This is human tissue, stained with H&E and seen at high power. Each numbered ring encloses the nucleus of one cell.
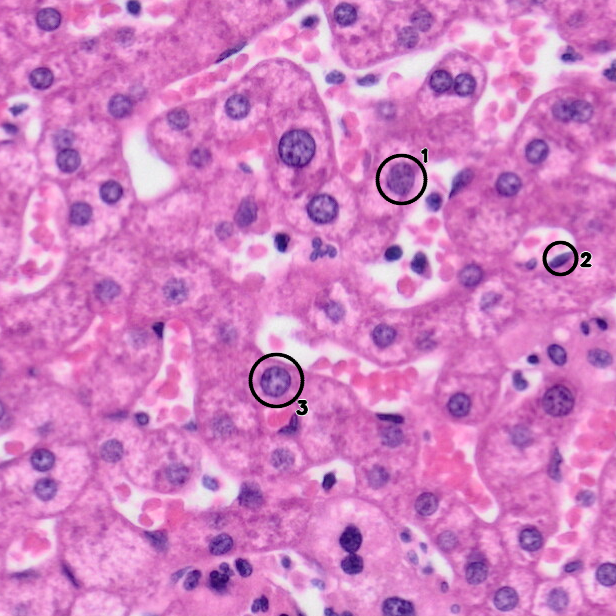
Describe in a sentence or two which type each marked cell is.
Cell 1 is a hepatocyte, cell 2 is an endothelial cell and cell 3 is a hepatocyte.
